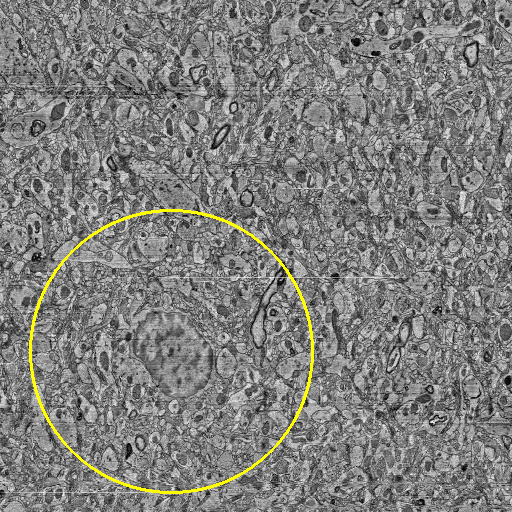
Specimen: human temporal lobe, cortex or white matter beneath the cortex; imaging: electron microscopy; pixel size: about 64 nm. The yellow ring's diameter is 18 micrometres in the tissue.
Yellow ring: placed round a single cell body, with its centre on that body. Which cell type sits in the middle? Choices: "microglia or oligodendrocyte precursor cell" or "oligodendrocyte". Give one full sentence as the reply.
It is an oligodendrocyte whose cell body sits at the centre of the yellow ring.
